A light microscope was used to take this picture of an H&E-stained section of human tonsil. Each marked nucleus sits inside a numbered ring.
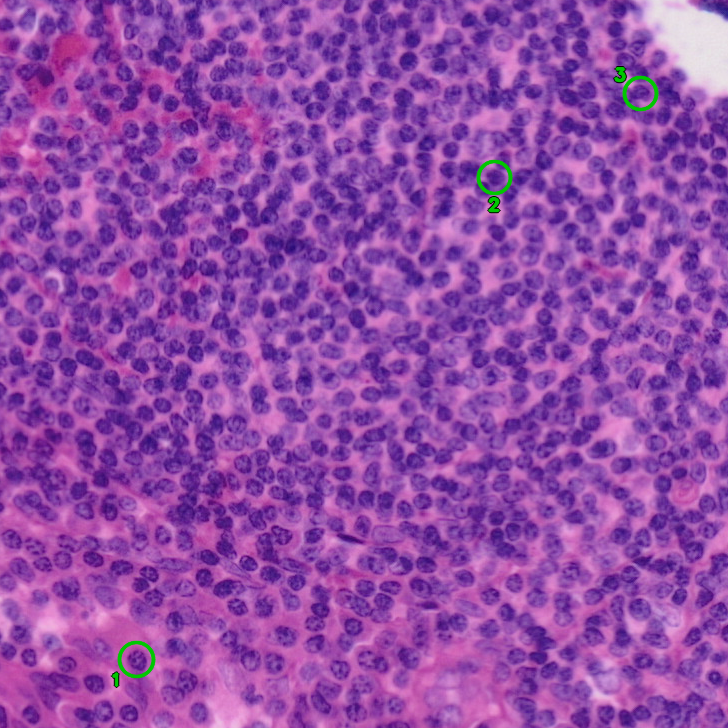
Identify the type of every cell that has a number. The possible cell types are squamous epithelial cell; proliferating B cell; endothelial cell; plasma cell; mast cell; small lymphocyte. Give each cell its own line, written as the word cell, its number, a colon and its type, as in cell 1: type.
cell 1: plasma cell
cell 2: small lymphocyte
cell 3: small lymphocyte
